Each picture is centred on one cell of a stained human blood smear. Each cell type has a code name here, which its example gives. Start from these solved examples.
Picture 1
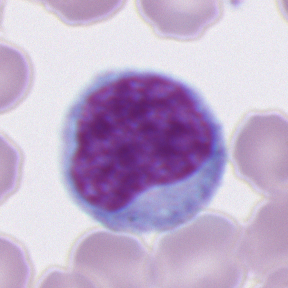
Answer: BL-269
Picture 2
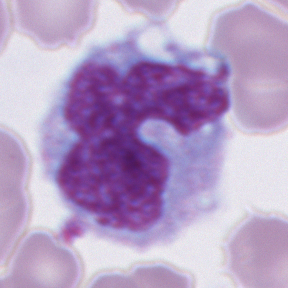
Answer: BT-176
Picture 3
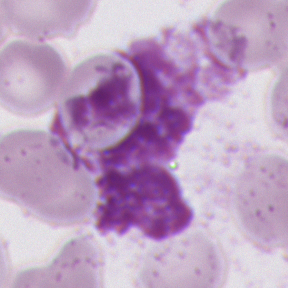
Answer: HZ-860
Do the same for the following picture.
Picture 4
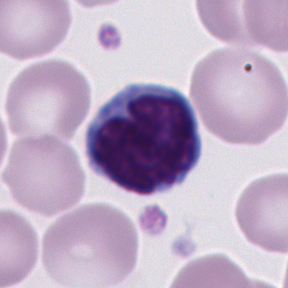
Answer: BL-269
